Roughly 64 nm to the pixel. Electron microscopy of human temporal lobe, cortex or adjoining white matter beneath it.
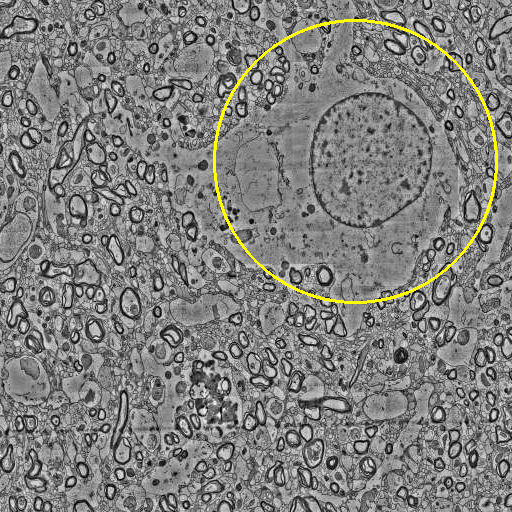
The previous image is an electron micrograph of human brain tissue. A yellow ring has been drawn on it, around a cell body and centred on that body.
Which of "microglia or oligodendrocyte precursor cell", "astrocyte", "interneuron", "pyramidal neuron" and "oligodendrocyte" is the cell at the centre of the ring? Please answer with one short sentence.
The cell body at the centre of the ring belongs to an astrocyte.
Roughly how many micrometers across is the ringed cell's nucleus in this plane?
In this plane, the nucleus of the cell at the centre of the ring is about 8 micrometres across.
